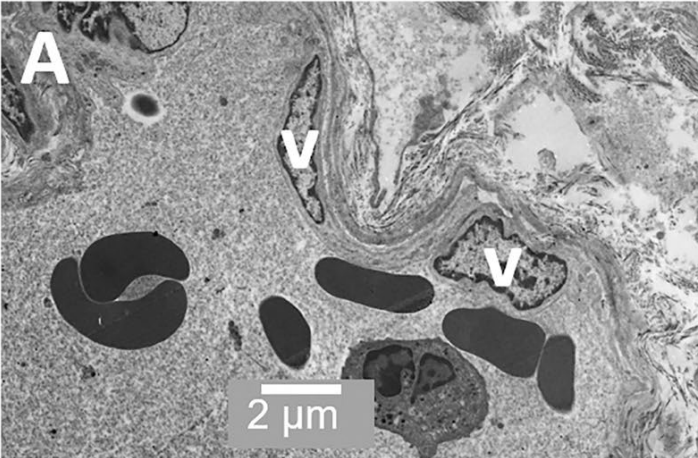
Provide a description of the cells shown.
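A small vessel in fibrous stroma is seen with its lumen holding several uniformly dark, smooth, curved red blood cell profiles and one larger white blood cell with a lobed nucleus and granular cytoplasm. The wall of the lumen is lined by thin, flattened cells whose elongated nuclei bulge slightly into the lumen. Outside these lining cells lie layers of wavy fibrous connective tissue. The plasma in the lumen has a fine grey, granular texture. Together this is a minor blood vessel lined by vascular endothelial cells.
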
